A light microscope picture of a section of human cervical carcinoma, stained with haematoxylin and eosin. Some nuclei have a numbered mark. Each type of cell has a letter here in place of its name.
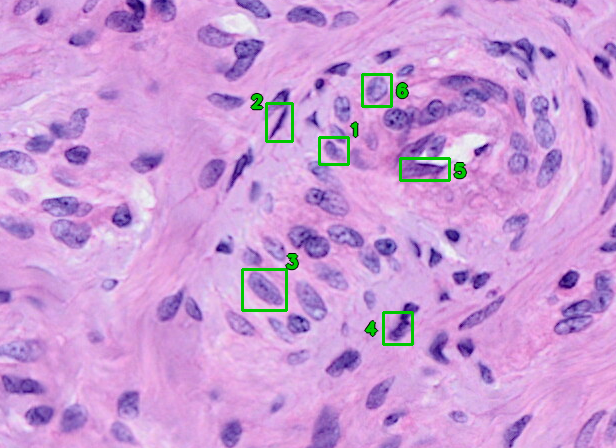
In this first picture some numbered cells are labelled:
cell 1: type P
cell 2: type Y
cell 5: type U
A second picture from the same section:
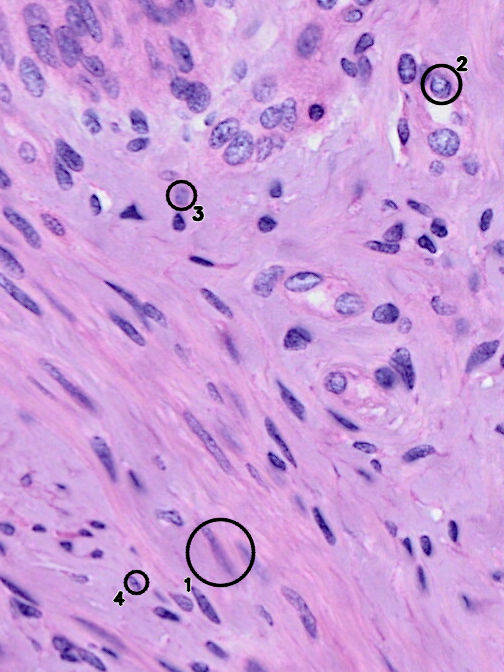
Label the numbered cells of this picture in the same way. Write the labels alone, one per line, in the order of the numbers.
type P
type U
type Y
type Y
